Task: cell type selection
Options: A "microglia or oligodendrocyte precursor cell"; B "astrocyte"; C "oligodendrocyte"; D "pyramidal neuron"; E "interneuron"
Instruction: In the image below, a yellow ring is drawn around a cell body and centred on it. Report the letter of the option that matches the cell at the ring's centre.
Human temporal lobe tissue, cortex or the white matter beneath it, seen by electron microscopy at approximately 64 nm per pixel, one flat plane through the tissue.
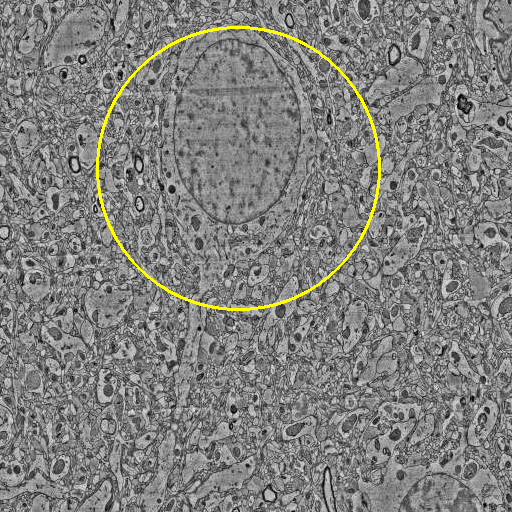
D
